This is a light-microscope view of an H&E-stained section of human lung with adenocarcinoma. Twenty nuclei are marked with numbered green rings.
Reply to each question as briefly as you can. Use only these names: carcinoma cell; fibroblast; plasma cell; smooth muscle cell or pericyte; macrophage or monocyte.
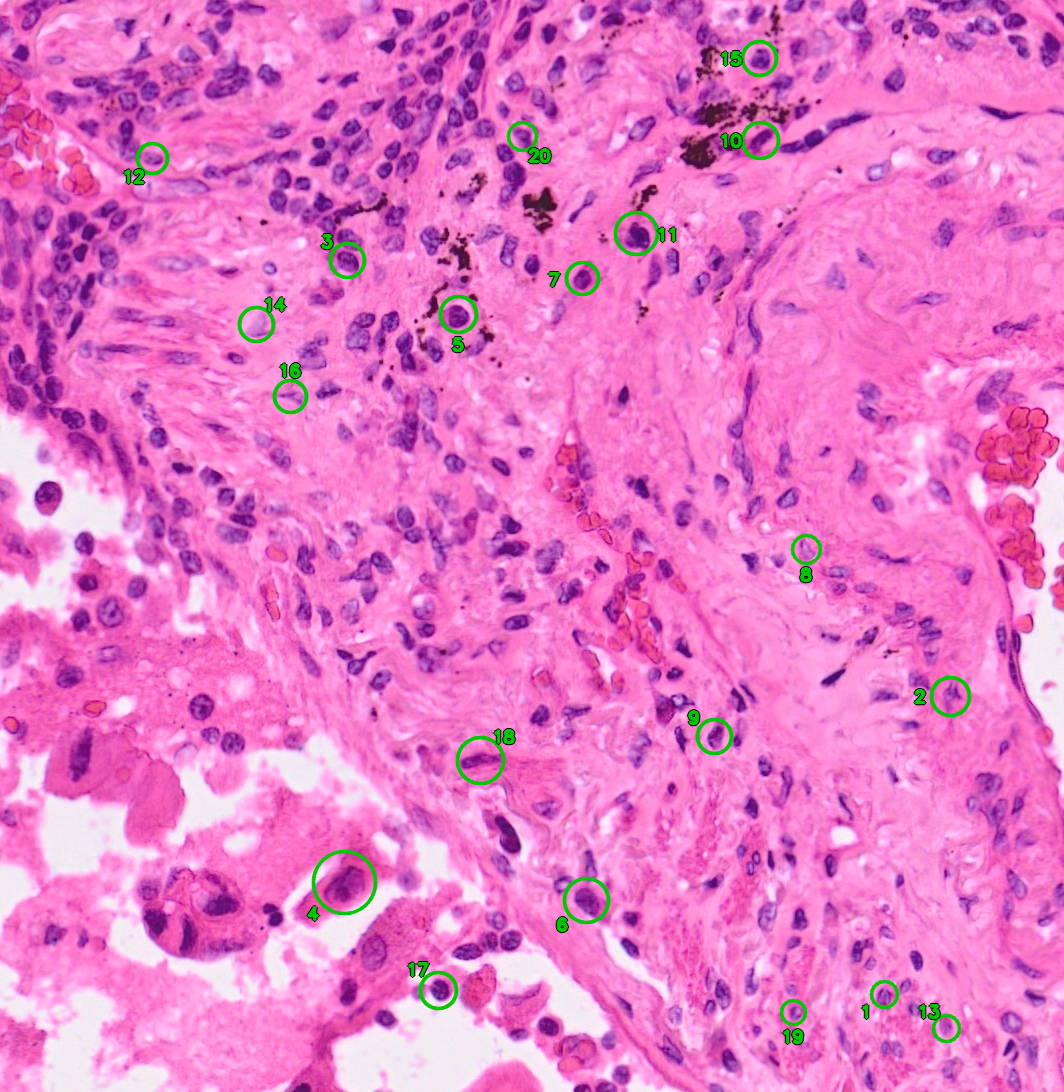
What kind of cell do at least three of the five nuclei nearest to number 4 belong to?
macrophage or monocyte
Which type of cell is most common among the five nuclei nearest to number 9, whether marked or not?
fibroblast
